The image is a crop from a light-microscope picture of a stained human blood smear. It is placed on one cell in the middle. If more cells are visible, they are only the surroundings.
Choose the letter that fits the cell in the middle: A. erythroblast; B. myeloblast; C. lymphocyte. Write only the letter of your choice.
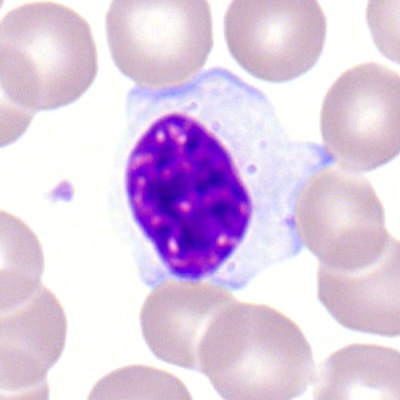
C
